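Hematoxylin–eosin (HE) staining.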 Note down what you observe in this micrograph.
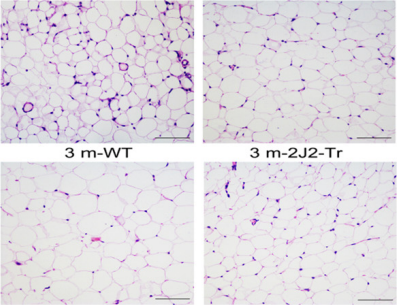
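White adipose tissue made of closely packed adipocytes, each seen as a large, round to polygonal, empty-looking profile where the lipid droplet was dissolved away, bounded by a thin pink rim of cytoplasm. The fields form a honeycomb pattern of these pale spaces. Small dark purple nuclei are flattened at the edges of the cells or sit in the narrow spaces between them, belonging to adipocytes and to stromal cells. Adipocyte size varies between fields: in some the profiles are small and crowded with many nuclei, in others they are larger with fewer nuclei per area.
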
